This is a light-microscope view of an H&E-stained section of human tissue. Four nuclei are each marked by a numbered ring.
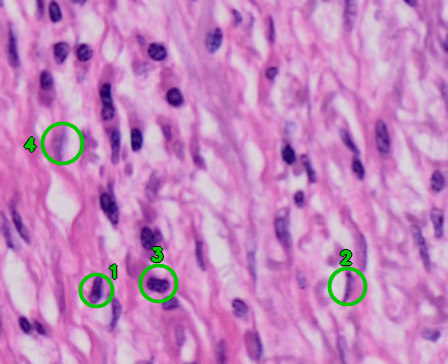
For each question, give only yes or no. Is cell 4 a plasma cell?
no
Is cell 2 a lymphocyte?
no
